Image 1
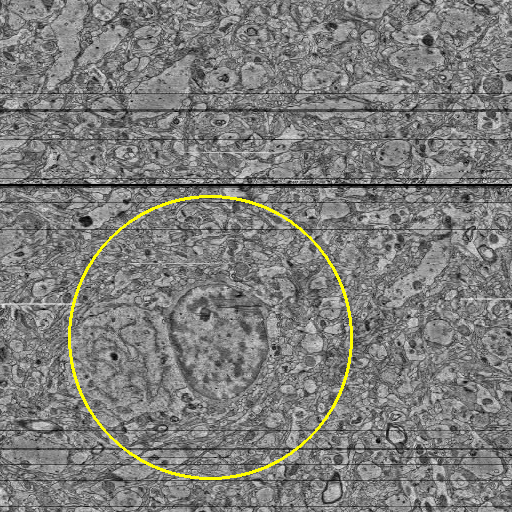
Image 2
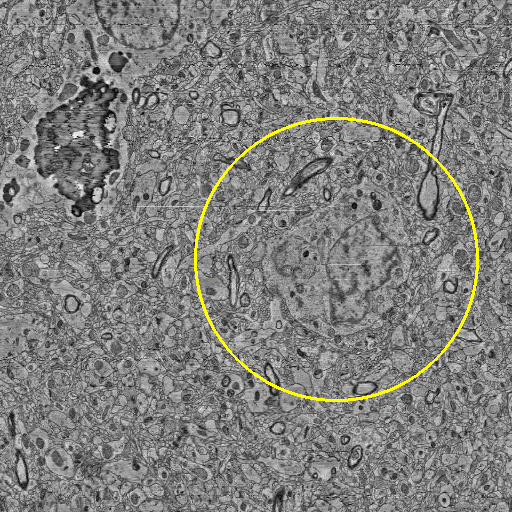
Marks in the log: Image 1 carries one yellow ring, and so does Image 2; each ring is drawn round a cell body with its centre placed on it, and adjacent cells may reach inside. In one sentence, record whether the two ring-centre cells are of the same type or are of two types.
The two cells at the ring centres, one in each image, are of two types.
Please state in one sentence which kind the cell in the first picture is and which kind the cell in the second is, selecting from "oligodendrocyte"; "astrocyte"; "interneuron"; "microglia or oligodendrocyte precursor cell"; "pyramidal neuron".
The first ringed cell is an oligodendrocyte, the second ringed cell an interneuron.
